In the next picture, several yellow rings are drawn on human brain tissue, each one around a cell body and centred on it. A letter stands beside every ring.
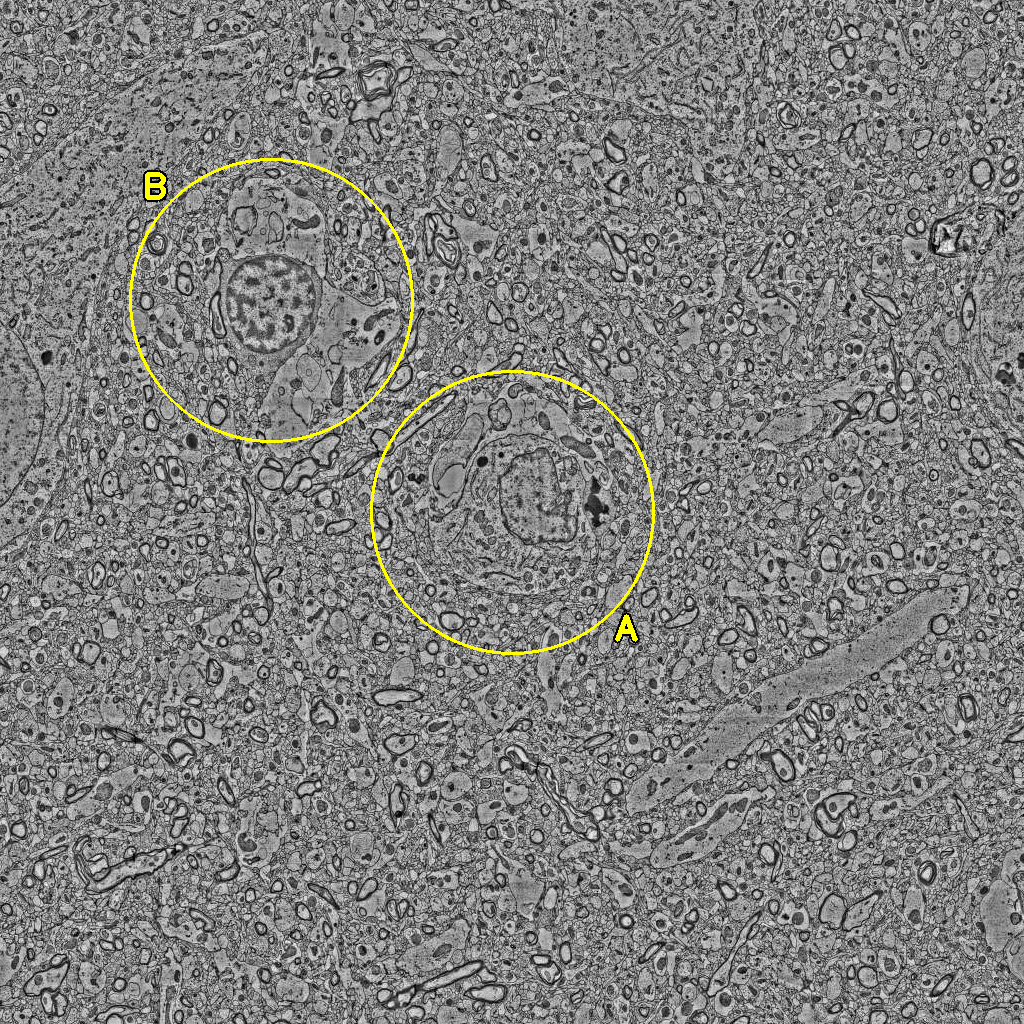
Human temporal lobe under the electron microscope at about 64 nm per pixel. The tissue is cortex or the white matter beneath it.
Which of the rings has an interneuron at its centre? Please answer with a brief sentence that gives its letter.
Ring A has it at its centre.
